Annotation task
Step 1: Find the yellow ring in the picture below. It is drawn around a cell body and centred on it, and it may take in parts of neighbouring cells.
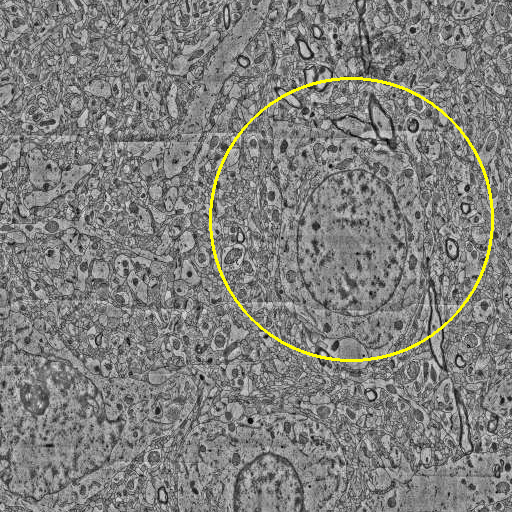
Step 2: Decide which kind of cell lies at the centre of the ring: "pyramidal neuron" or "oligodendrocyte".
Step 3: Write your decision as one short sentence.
The kind of cell at the ring's centre is a pyramidal neuron.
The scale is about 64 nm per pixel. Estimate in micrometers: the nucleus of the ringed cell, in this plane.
Approximately 10 micrometres long and 7 micrometres wide, in this plane.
